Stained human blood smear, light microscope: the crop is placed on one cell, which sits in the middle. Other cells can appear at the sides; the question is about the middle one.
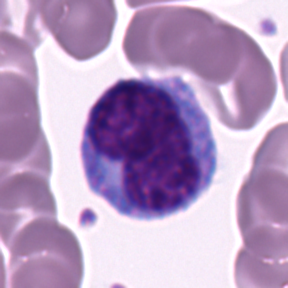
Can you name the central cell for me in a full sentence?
Answering briefly, the cell in the middle is a monocyte.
